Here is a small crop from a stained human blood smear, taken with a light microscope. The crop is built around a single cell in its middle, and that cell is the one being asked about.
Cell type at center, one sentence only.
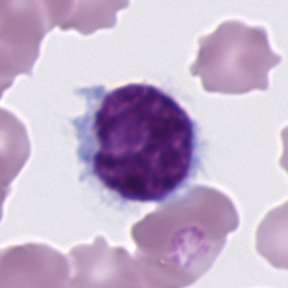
The cell occupying the middle of the crop is a hairy cell.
